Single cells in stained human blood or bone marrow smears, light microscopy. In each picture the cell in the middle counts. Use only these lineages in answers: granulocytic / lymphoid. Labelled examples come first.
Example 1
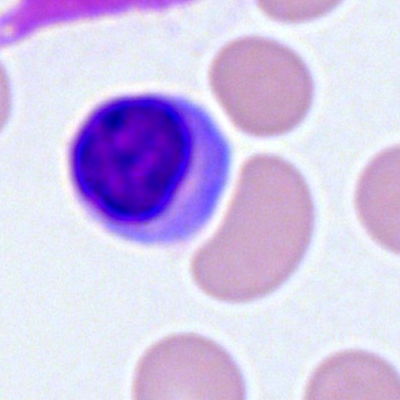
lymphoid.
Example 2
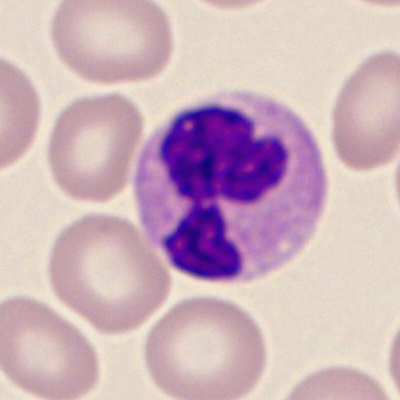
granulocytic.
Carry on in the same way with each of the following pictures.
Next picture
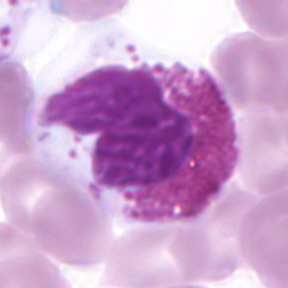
granulocytic.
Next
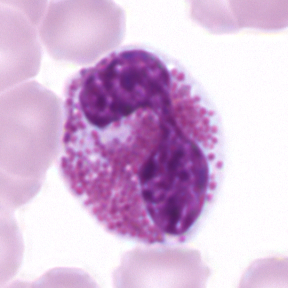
granulocytic.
